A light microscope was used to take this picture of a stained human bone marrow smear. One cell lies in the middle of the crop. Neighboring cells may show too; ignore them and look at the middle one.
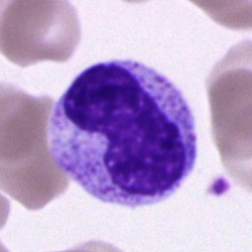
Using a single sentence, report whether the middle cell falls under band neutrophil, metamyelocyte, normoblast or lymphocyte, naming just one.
For this crop, the cell in the middle is a metamyelocyte.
